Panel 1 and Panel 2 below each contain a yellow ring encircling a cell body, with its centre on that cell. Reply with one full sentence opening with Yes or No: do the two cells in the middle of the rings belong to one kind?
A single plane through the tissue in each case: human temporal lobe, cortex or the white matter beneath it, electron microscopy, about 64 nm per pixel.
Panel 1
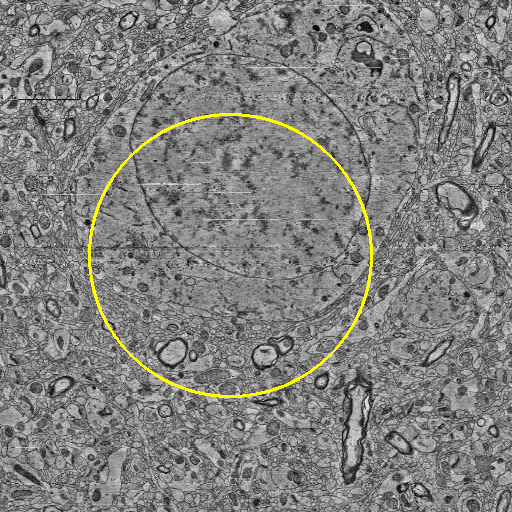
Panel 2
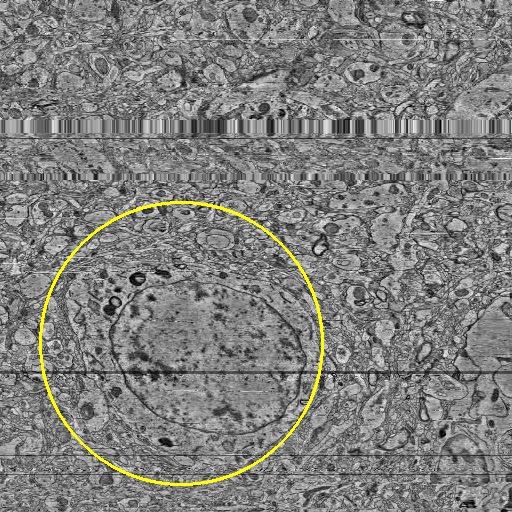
Yes, the cells at the middle of the Panel 1 ring and the Panel 2 ring are of one kind.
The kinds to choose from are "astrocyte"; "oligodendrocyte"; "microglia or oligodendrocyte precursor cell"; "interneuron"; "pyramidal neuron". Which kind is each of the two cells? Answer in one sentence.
The first and the second cell are each a pyramidal neuron.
